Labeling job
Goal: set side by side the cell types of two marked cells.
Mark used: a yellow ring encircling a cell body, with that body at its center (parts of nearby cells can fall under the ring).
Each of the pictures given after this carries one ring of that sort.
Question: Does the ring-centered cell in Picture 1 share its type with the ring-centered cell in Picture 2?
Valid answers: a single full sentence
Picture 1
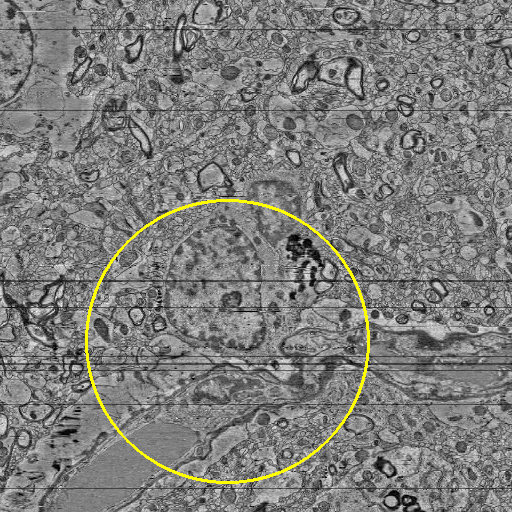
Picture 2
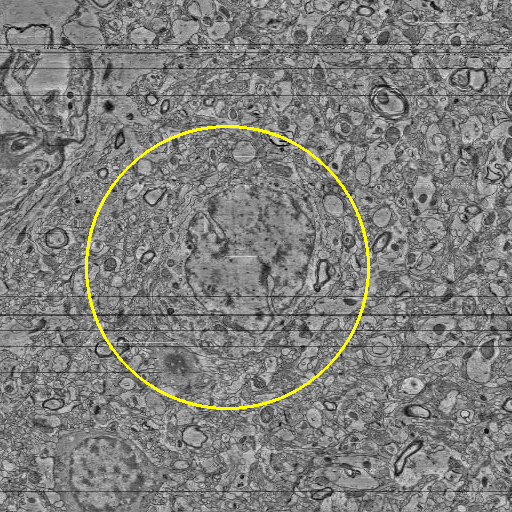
No, in Pictures 1 and 2 the cells at the ring centers have separate types.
